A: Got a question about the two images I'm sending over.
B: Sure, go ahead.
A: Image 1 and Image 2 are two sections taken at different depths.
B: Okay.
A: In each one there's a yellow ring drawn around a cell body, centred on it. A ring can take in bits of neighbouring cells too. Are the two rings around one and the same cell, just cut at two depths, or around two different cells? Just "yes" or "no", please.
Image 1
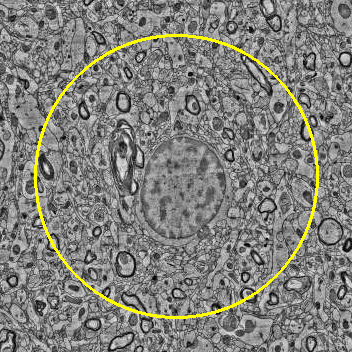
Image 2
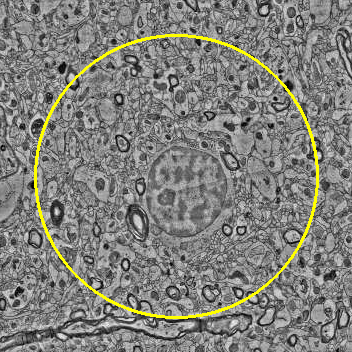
yes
